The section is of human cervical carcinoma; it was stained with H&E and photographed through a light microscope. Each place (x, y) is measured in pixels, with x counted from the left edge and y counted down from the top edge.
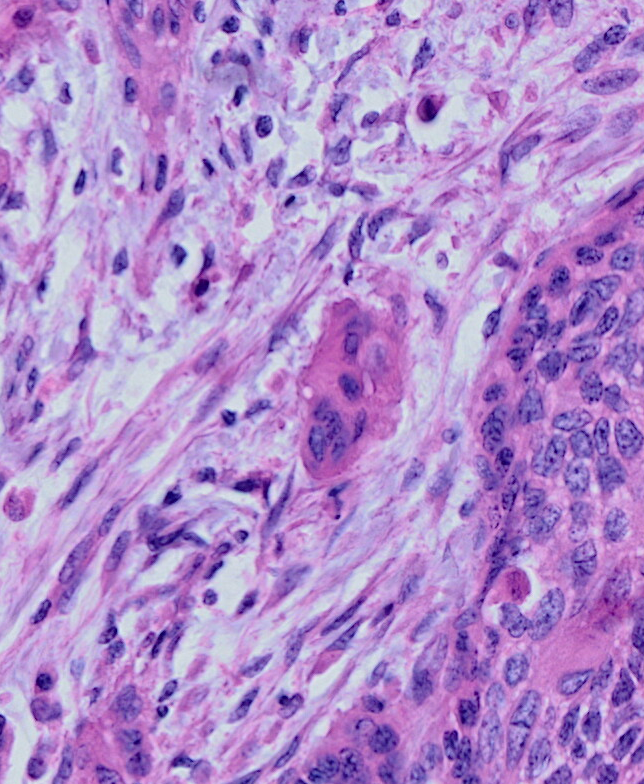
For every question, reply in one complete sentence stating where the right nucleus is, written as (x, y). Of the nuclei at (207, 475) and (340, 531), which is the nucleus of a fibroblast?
Among the two, the nucleus at (340, 531) is the nucleus of a fibroblast.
